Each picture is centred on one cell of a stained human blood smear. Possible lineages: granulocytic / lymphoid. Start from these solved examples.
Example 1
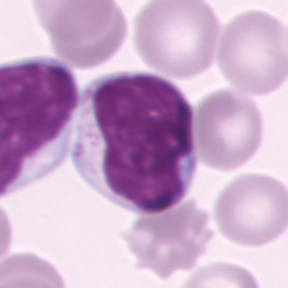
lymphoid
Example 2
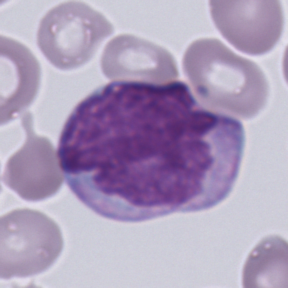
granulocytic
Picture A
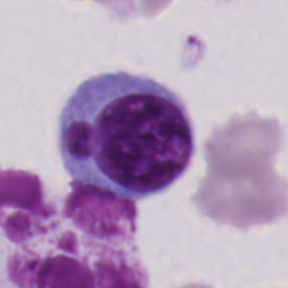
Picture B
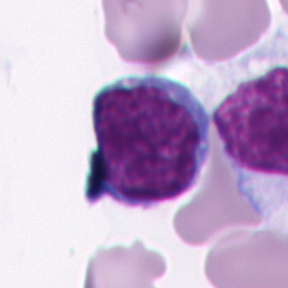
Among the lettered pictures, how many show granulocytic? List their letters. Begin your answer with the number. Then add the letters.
0, none of them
